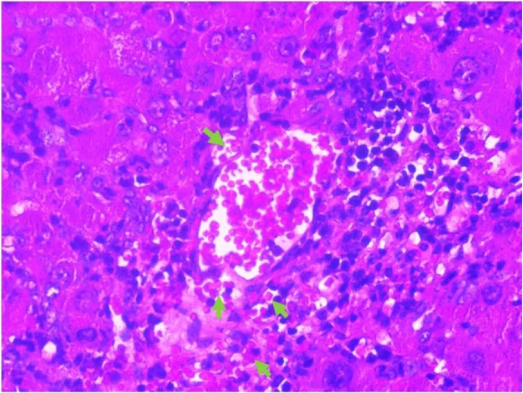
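The field shows liver tissue. Large polygonal hepatocytes with pink cytoplasm and big round nuclei surround a central irregular space. That space is crowded with small pink-red red blood cells. Many more red blood cells lie scattered among the cells around it, together with a dense gathering of small, dark, round nuclei. Blood outside its vessel in this way is bleeding into the liver tissue.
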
